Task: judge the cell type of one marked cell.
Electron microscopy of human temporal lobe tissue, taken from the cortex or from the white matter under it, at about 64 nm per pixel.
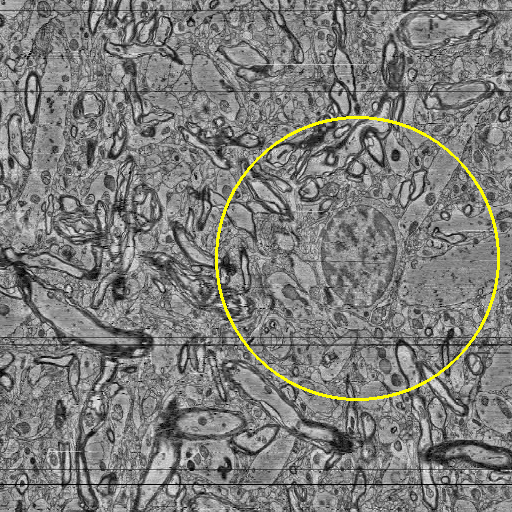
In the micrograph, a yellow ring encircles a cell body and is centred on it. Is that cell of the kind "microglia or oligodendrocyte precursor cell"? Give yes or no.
no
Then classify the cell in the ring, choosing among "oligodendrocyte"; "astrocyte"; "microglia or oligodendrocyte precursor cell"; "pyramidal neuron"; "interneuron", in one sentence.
The correct answer is that the cell is an oligodendrocyte.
